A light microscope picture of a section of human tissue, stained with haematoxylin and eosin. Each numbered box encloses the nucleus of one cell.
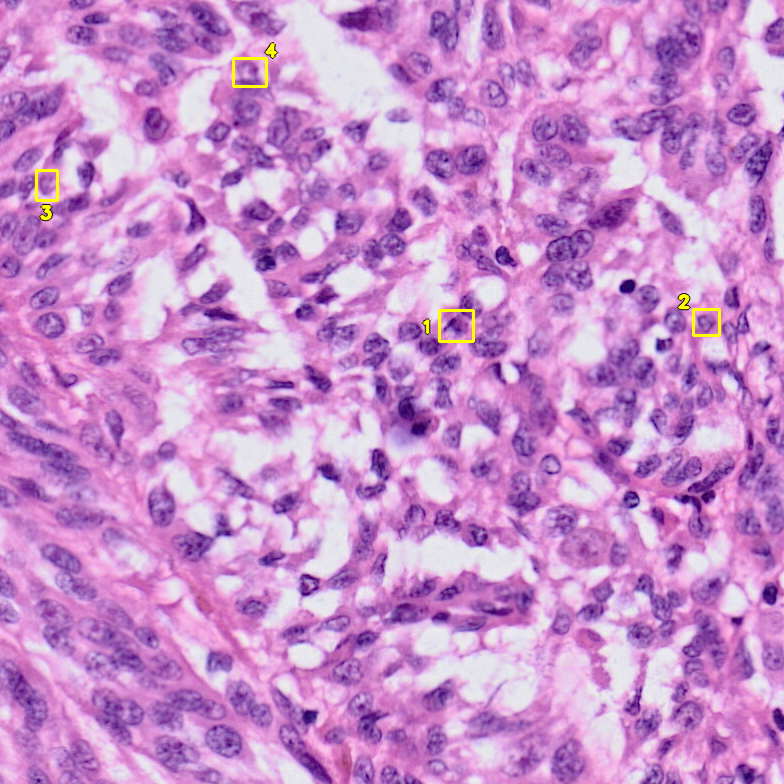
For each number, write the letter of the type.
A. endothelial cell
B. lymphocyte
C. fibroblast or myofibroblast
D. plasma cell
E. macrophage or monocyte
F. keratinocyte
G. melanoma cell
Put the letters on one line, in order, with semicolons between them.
G; E; G; G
